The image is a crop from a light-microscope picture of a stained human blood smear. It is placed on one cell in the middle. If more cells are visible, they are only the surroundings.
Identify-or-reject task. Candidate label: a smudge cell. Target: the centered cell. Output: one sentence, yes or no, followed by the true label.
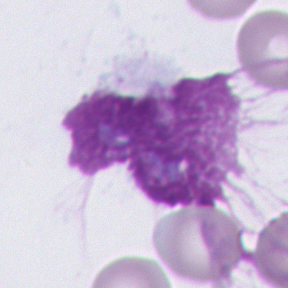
Yes, the central cell here is a smudge cell.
